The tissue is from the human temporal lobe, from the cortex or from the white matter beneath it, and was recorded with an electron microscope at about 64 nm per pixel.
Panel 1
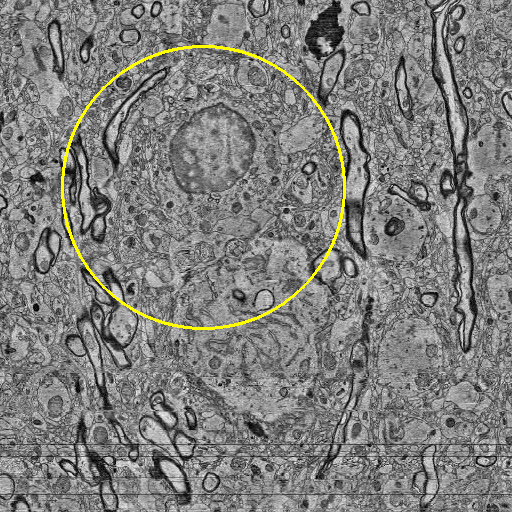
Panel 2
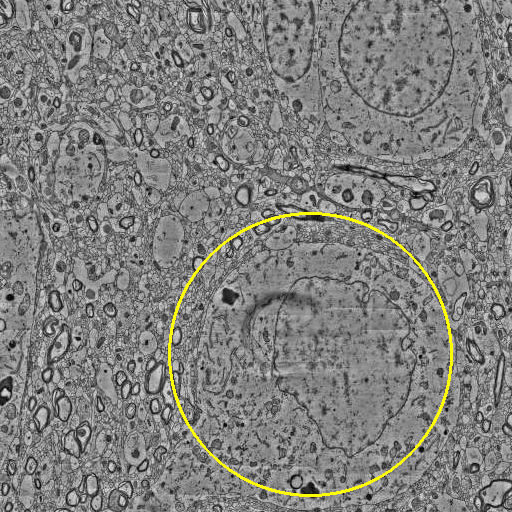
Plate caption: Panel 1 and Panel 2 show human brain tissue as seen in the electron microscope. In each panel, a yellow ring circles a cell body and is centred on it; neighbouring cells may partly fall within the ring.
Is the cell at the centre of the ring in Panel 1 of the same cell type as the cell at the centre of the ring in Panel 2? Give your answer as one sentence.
No, the two cells are of two types.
